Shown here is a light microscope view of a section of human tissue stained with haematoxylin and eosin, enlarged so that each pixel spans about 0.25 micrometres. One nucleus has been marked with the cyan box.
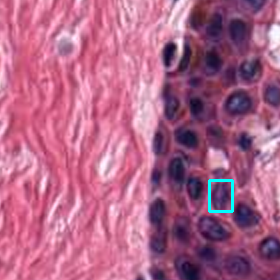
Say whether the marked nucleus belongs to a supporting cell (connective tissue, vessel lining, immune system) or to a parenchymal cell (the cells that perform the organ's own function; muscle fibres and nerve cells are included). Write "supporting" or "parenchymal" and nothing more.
parenchymal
